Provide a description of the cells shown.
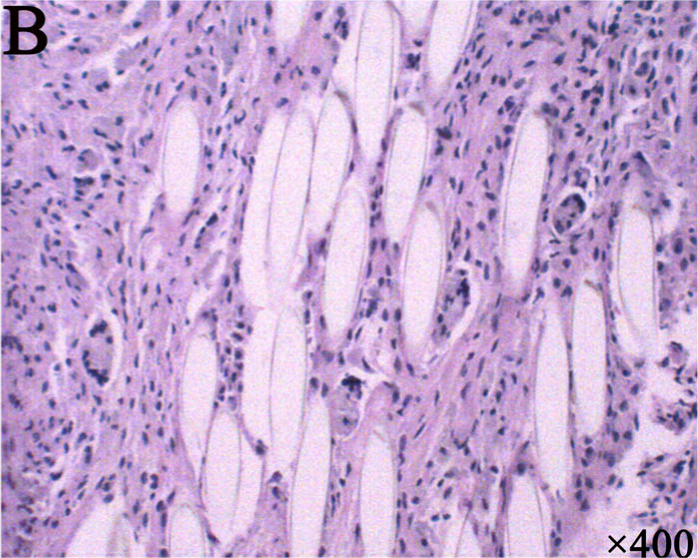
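Many rows of clear, elongated oval spaces run in parallel, and between them lies pink fibrous tissue packed with elongated dark nuclei. The spindle-shaped cells follow the long axis of the clear spaces, wrapping around them.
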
